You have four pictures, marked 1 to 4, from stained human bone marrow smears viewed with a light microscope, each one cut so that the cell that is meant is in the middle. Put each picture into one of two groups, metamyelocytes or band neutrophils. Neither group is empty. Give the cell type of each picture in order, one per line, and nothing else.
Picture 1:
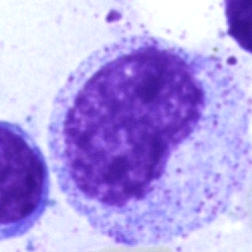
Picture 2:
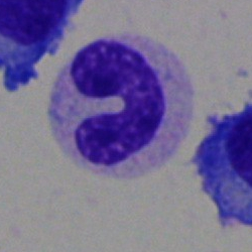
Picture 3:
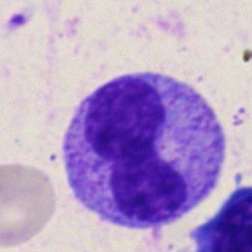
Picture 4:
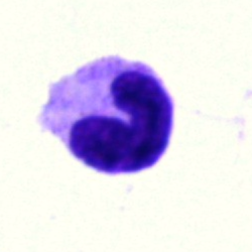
metamyelocyte
band neutrophil
band neutrophil
band neutrophil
